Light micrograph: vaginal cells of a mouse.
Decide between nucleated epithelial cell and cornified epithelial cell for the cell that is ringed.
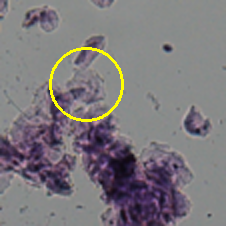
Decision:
I take the ringed cell for a cornified epithelial cell.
